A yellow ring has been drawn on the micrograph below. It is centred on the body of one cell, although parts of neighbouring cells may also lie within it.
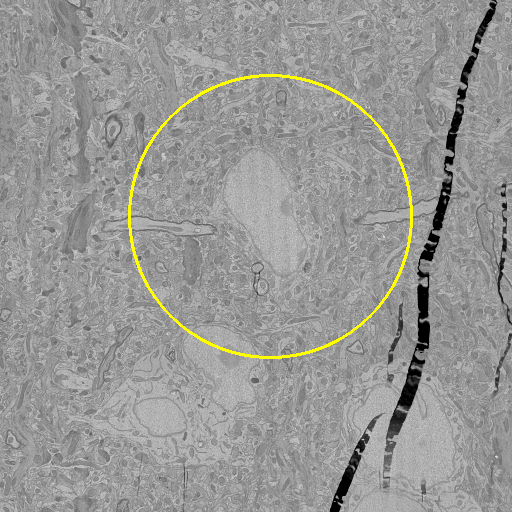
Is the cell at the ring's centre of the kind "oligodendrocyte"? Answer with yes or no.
no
